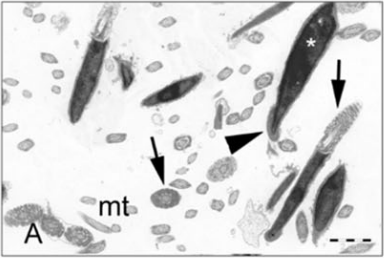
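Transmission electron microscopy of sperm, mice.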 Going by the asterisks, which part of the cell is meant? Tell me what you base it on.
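Nuclei. The dense bodies are long and tapering, forming the sperm heads.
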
